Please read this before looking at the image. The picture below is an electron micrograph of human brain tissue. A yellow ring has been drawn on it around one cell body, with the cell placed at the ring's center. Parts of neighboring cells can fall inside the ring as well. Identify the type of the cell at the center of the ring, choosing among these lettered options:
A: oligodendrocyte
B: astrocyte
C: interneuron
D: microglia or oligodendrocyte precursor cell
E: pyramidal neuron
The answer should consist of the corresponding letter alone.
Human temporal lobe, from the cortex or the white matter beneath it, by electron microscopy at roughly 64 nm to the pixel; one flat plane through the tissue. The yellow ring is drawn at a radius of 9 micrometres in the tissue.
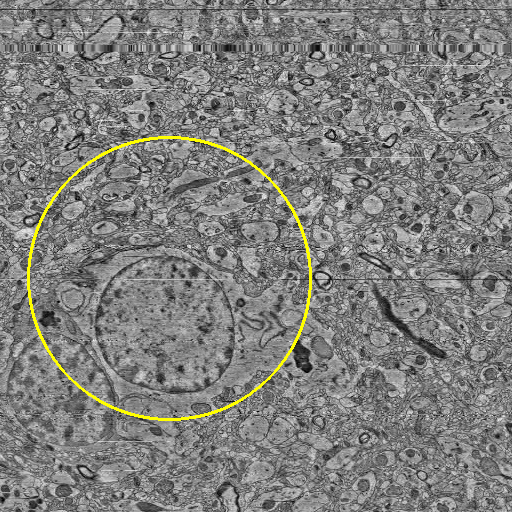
B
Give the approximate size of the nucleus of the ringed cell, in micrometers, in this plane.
The ringed cell's nucleus is about 9 micrometres across in this plane.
